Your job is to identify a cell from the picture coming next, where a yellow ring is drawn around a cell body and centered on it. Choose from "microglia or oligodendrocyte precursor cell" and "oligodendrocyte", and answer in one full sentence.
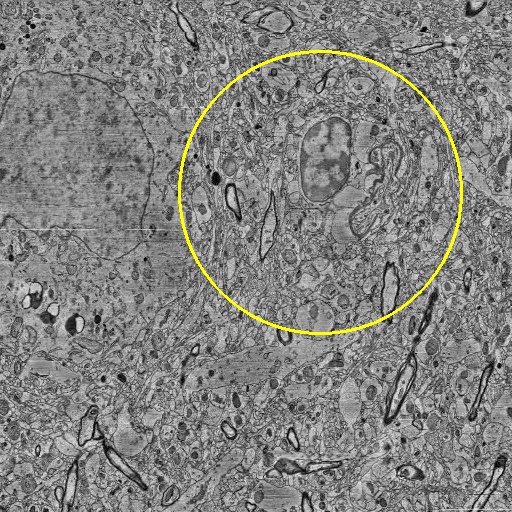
Centered in the yellow ring of the picture is the body of a microglial cell or oligodendrocyte precursor cell.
